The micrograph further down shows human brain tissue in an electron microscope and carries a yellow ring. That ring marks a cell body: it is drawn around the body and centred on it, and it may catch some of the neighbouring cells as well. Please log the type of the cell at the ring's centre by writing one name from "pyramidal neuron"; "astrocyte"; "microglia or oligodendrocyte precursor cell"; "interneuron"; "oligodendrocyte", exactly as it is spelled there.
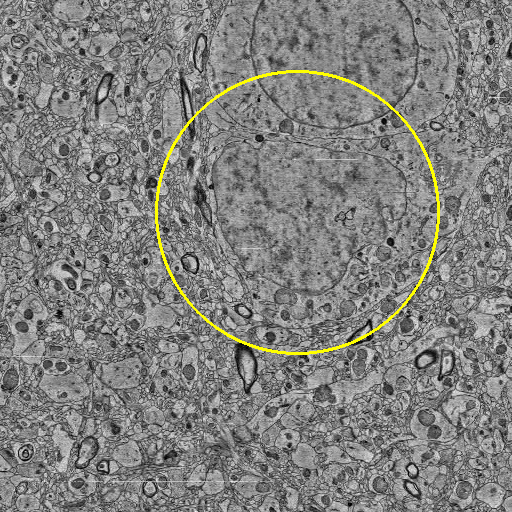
interneuron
